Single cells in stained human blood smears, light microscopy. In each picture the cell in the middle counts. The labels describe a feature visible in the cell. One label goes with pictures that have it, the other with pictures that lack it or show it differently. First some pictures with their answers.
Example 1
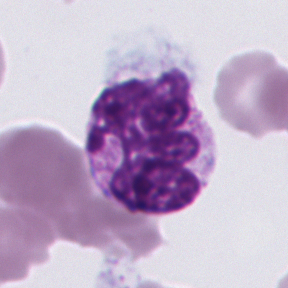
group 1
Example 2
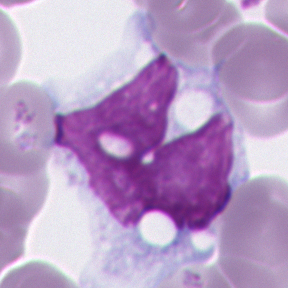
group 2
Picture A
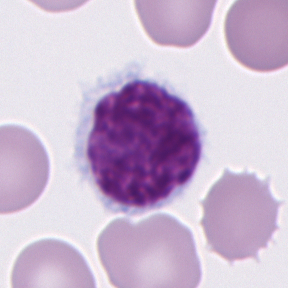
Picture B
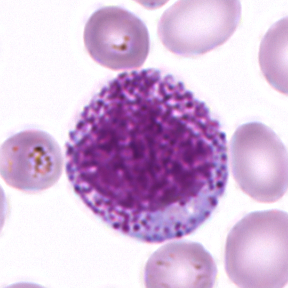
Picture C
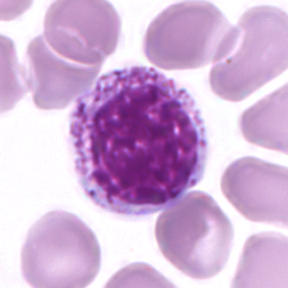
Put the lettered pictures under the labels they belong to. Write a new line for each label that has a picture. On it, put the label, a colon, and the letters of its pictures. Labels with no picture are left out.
group 1: A, B, C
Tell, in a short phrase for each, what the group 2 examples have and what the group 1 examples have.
Seen in group 2: abundant cytoplasm; seen in group 1: scant cytoplasm.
